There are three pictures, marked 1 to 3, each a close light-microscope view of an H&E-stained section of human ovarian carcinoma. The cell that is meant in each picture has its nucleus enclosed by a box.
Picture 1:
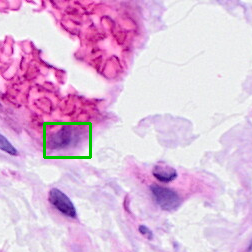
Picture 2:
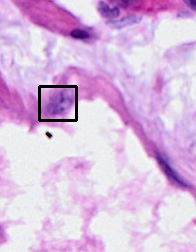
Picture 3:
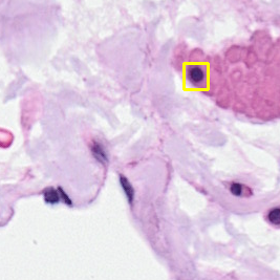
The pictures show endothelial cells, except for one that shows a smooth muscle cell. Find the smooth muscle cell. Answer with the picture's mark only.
3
